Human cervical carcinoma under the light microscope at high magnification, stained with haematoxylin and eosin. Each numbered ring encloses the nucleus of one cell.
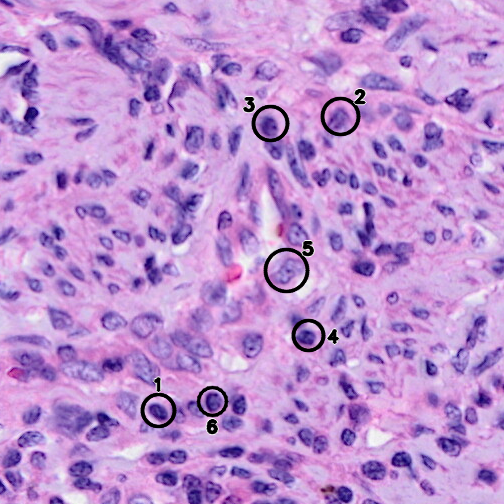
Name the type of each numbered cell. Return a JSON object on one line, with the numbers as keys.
{"1": "lymphocyte", "2": "endothelial cell", "3": "lymphocyte", "4": "lymphocyte", "5": "endothelial cell", "6": "lymphocyte"}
